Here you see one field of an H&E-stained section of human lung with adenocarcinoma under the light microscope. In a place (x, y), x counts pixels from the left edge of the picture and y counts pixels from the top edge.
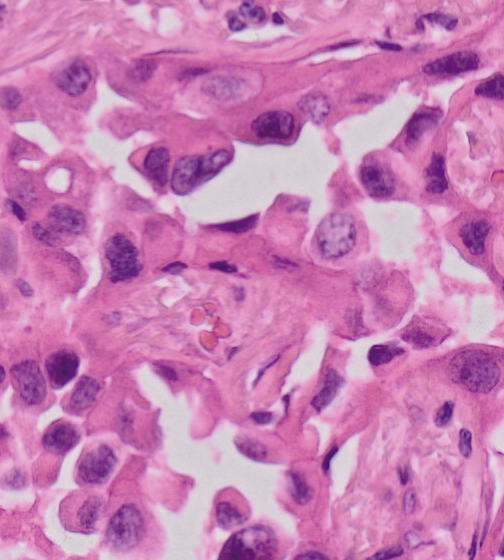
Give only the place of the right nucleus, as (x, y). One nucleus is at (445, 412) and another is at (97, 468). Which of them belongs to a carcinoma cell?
(97, 468)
